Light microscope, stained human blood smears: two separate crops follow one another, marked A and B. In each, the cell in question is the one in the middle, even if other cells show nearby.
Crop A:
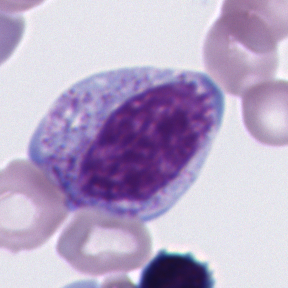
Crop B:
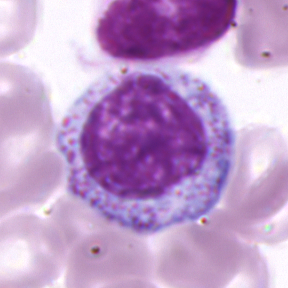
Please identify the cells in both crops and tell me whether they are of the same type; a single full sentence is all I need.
Yes, both of the crops in this pair show myelocytes, one cell in each crop.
